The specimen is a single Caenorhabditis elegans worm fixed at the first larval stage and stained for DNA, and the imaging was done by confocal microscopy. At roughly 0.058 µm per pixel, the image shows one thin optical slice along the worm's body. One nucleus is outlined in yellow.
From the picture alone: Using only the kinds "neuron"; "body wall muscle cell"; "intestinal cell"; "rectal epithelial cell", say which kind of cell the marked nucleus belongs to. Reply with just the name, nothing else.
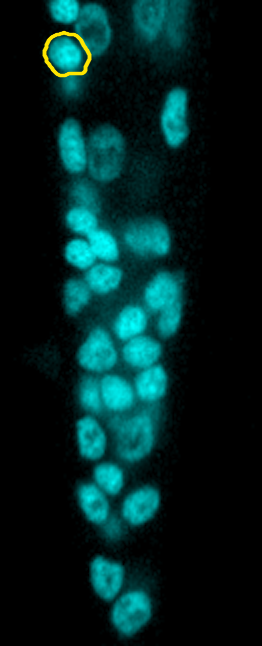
neuron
